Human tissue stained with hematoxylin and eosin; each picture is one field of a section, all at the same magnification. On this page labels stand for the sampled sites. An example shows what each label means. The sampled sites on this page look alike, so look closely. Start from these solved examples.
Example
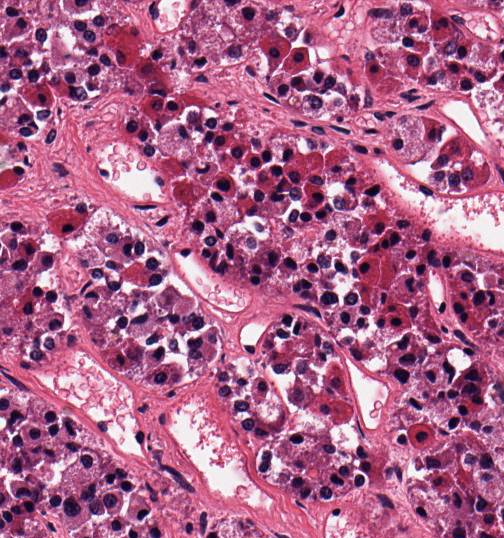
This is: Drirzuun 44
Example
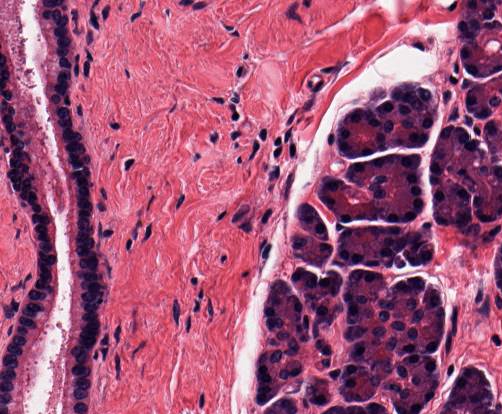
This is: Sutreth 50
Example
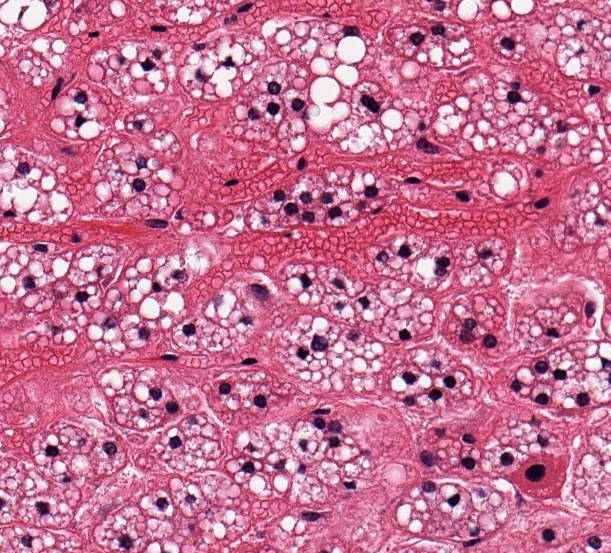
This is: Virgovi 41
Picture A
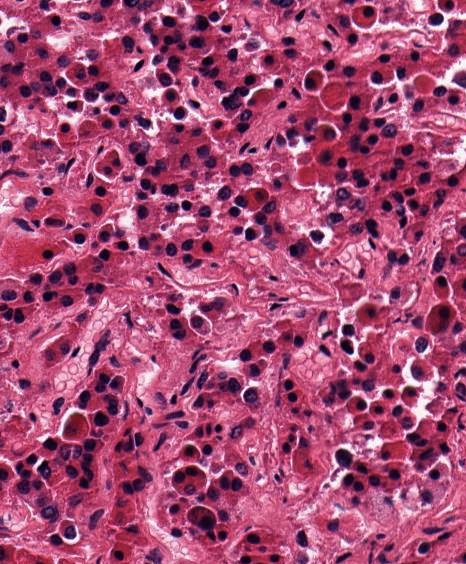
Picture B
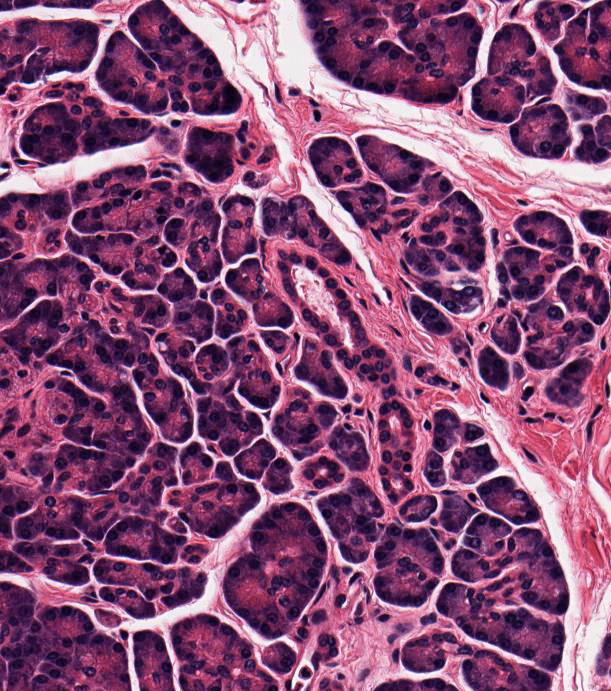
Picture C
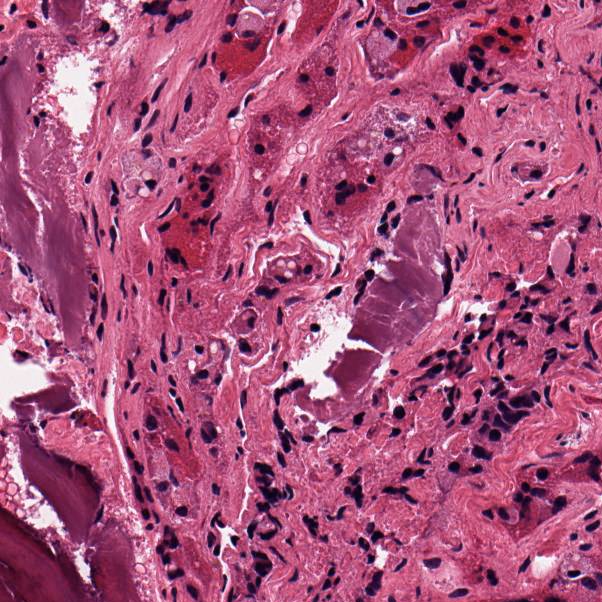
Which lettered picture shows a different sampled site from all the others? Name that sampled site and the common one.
Odd one out: B (Sutreth 50). The rest: Drirzuun 44.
